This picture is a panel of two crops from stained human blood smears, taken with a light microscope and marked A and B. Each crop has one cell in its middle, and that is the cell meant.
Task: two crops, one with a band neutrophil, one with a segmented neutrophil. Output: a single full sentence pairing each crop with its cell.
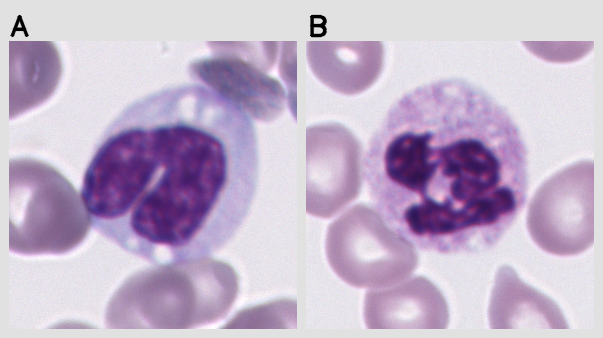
Crop A features a band neutrophil, while crop B features a segmented neutrophil.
